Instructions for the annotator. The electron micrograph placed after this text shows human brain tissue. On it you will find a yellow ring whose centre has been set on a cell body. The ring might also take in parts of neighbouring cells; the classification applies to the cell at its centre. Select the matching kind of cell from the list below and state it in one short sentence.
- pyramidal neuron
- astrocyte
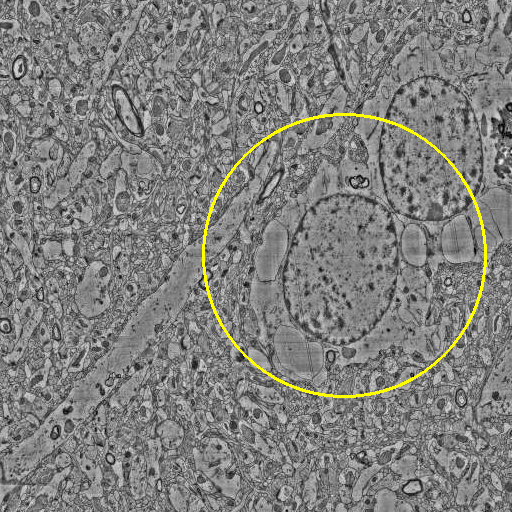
The ring is drawn on the cell body of an astrocyte.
